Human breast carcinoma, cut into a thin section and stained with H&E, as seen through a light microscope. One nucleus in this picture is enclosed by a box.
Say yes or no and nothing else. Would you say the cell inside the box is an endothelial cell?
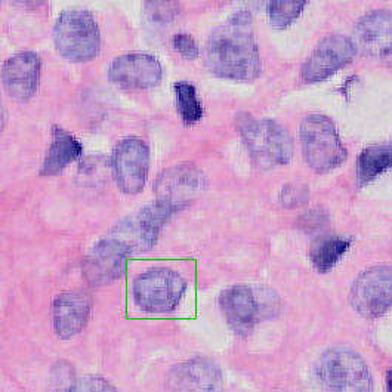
no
